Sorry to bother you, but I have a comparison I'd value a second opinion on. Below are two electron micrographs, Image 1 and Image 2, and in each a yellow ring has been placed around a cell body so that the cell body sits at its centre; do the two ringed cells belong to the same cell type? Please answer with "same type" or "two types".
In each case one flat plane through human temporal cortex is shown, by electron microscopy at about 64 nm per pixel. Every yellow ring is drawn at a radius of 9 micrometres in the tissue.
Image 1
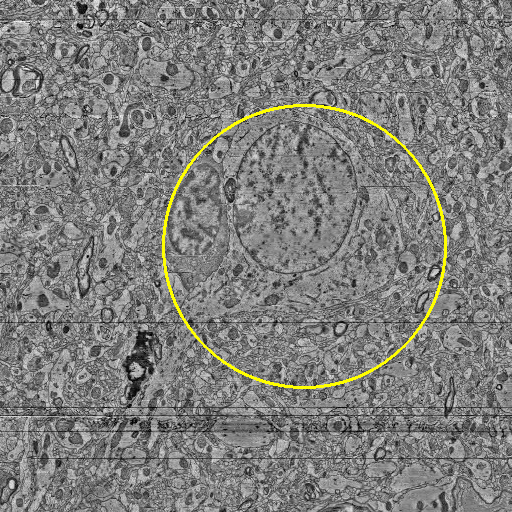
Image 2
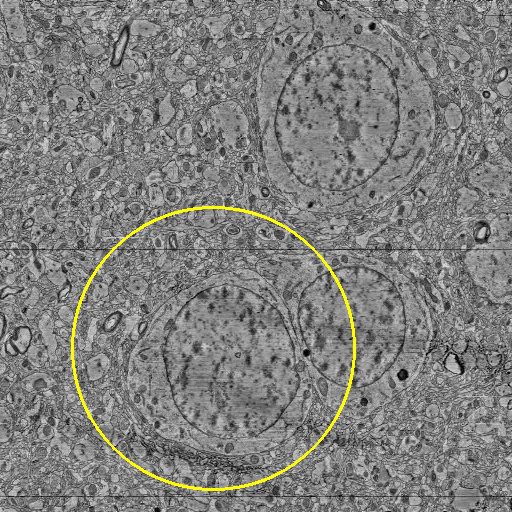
same type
